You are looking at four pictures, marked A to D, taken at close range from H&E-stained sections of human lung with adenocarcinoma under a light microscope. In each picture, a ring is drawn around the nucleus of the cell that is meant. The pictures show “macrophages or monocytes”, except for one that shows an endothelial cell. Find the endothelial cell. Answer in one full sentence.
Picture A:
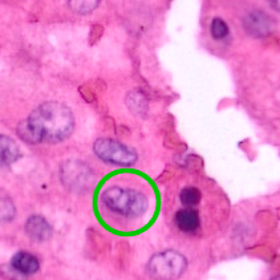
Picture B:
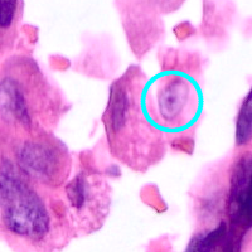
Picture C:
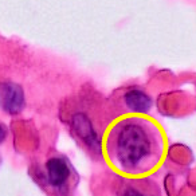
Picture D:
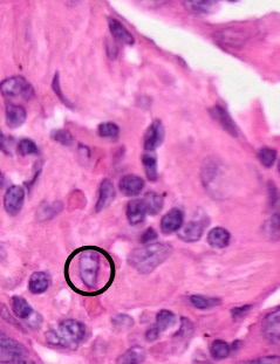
It is picture D that shows the endothelial cell.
